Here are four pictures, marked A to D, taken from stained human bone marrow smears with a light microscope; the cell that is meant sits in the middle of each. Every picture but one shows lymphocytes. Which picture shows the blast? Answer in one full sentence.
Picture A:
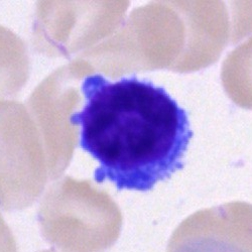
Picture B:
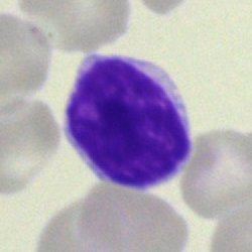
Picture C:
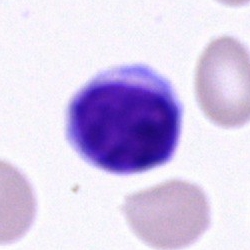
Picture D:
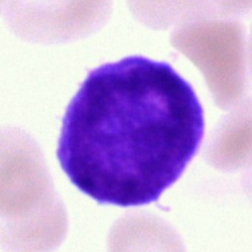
The picture with the blast is D.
